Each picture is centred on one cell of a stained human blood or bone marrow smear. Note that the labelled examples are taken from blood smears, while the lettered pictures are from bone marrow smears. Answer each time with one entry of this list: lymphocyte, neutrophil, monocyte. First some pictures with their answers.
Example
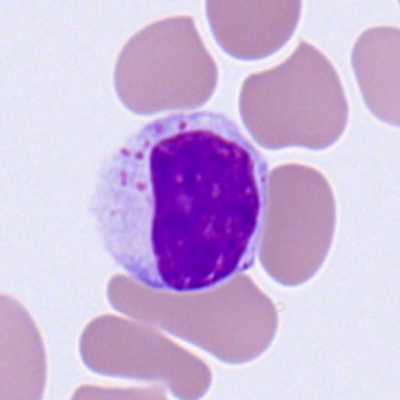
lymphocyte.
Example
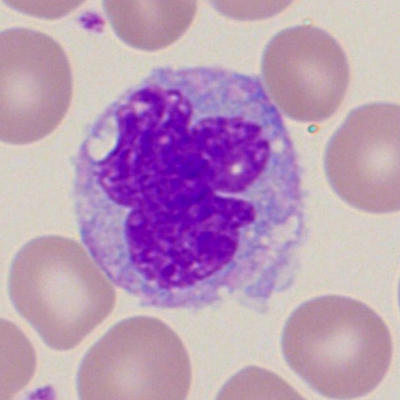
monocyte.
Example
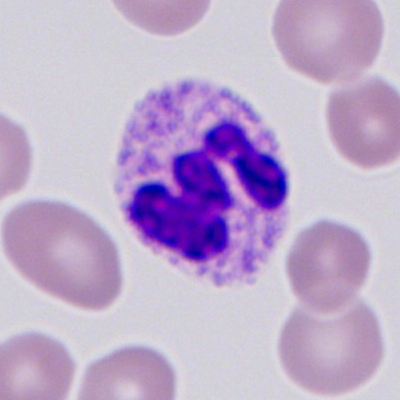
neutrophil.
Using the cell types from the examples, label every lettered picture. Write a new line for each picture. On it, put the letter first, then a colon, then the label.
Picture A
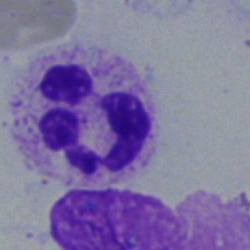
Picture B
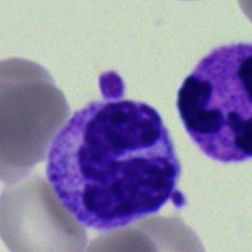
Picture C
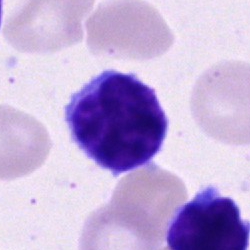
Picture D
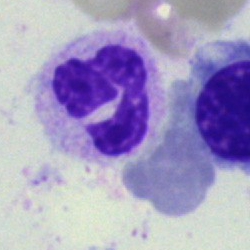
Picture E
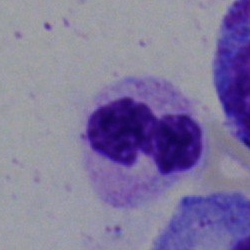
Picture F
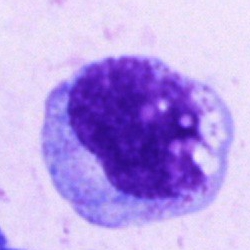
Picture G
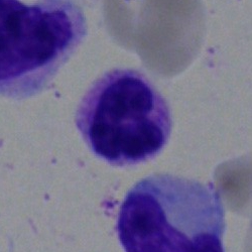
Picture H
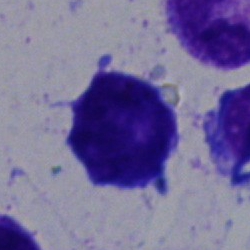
A: neutrophil.
B: neutrophil.
C: lymphocyte.
D: neutrophil.
E: neutrophil.
F: monocyte.
G: neutrophil.
H: lymphocyte.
